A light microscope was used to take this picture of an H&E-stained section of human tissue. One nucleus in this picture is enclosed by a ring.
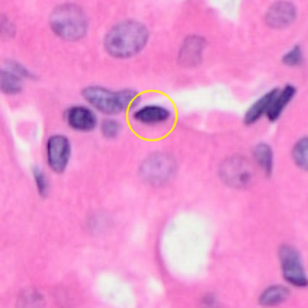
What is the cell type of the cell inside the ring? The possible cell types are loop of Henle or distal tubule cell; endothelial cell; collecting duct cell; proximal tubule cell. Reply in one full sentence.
The correct response here is that the cell inside the ring is an endothelial cell.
